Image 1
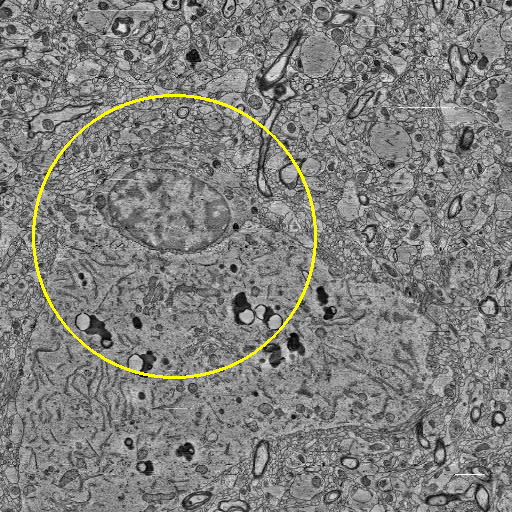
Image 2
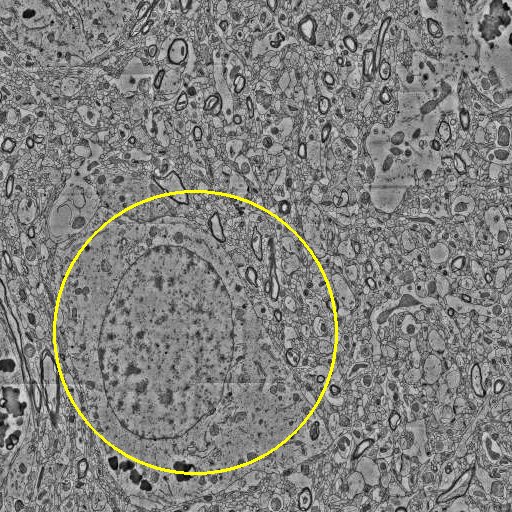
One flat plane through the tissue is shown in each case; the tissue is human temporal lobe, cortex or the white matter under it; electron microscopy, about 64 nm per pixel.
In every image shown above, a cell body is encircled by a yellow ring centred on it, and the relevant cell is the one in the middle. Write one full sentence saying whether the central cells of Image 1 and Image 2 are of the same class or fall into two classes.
The cell at the ring's centre in Image 1 and its counterpart in Image 2 fall into two classes.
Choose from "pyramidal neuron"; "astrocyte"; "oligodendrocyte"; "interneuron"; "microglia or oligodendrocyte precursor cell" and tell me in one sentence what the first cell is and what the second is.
What the first ring is centred on is an oligodendrocyte; what the second ring is centred on is a pyramidal neuron.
